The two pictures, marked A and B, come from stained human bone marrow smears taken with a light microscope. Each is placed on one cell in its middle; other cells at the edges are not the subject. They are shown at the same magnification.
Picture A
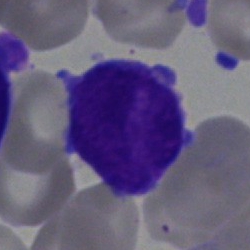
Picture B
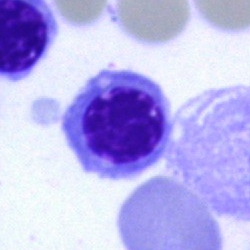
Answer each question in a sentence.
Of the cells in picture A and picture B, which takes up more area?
It is the cell in picture A, about 1.5 times as large in area as the cell in picture B.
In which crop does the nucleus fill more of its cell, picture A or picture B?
Of the two, the nucleus in picture A makes up the greater part of its cell.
